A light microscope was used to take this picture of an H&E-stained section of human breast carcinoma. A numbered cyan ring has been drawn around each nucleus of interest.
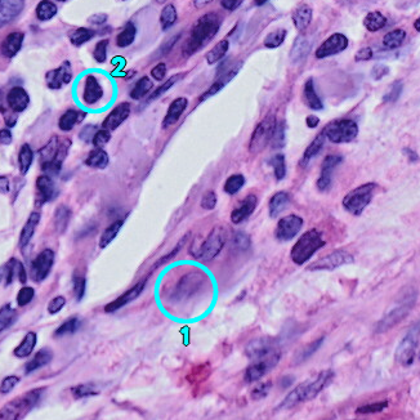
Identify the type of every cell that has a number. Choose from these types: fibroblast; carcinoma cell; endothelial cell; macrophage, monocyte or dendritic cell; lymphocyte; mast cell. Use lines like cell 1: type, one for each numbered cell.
cell 1: endothelial cell
cell 2: lymphocyte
